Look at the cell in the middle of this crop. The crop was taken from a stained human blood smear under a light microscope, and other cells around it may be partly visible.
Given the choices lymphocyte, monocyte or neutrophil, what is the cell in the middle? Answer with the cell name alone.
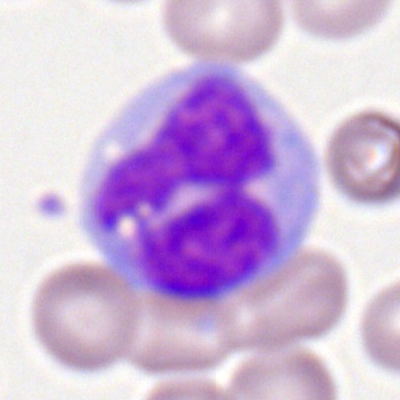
monocyte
